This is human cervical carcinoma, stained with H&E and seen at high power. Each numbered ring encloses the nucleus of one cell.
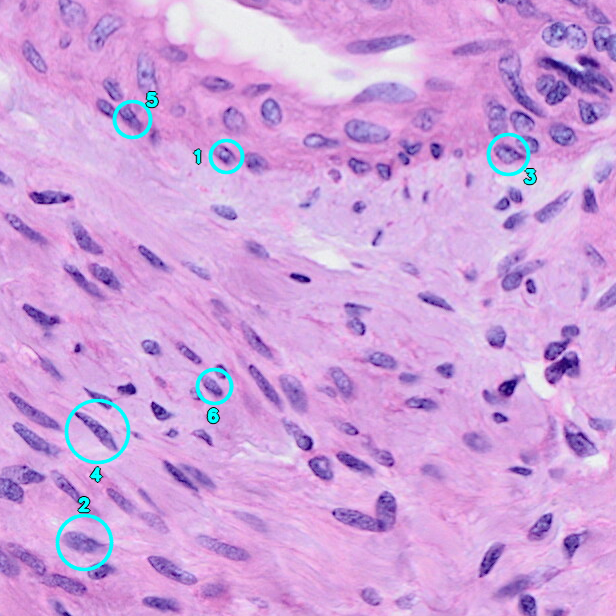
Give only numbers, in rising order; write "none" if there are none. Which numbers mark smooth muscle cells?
1, 3, 5, 6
